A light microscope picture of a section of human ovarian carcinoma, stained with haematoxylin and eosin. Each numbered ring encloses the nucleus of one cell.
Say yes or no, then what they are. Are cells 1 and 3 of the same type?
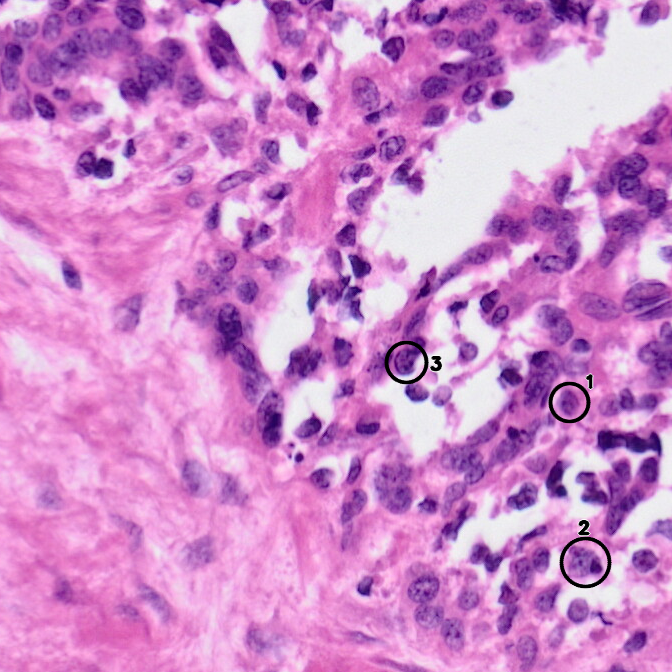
Yes, cells 1 and 3 are both carcinoma cells in this section.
